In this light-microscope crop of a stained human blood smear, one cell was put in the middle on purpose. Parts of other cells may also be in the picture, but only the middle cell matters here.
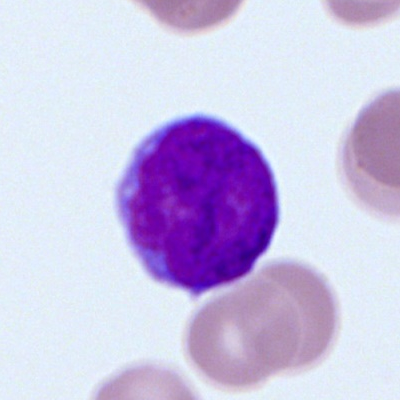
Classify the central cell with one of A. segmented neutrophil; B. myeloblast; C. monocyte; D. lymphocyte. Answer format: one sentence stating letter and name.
It is a myeloblast that occupies the centre of the crop, so option B is correct.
